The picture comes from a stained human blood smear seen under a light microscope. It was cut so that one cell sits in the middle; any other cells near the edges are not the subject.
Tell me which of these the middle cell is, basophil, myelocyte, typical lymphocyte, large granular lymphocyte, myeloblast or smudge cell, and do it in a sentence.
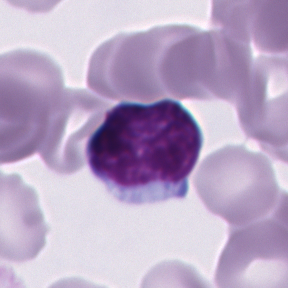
The cell at the central position in this crop is a typical lymphocyte.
